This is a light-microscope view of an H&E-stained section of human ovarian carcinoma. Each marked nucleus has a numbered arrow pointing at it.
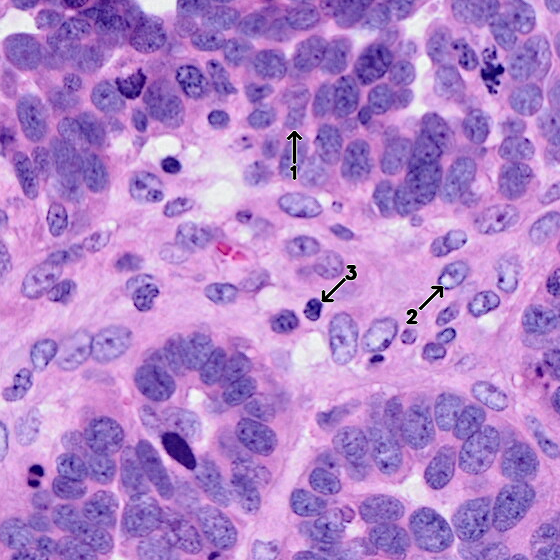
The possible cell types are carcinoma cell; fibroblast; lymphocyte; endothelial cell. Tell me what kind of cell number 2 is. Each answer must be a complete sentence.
Nucleus 2 in this section belongs to a fibroblast.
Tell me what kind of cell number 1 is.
The cell identified by number 1 is a carcinoma cell.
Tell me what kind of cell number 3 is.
Cell 3 should be recorded as a lymphocyte.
